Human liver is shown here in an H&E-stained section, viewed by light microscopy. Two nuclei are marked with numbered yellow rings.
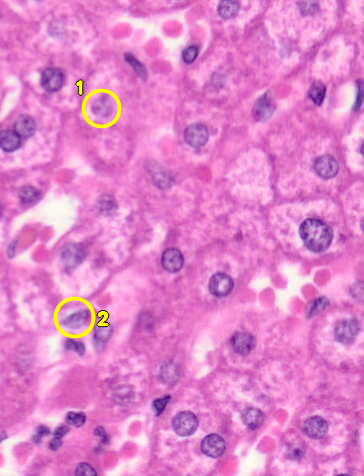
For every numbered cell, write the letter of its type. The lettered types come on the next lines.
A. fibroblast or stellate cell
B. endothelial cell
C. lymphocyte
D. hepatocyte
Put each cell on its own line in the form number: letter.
1: D
2: B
